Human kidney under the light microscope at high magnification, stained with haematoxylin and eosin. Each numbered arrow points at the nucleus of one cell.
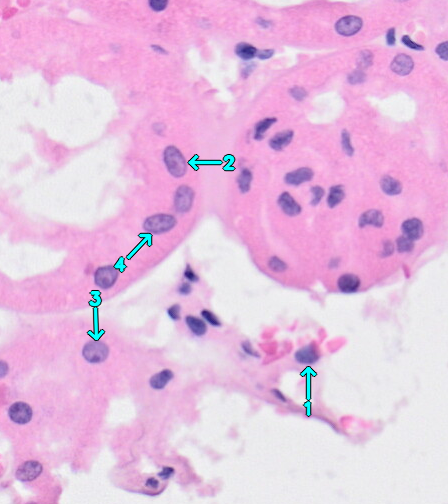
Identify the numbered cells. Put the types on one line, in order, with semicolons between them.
endothelial cell; proximal tubule cell; proximal tubule cell; proximal tubule cell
